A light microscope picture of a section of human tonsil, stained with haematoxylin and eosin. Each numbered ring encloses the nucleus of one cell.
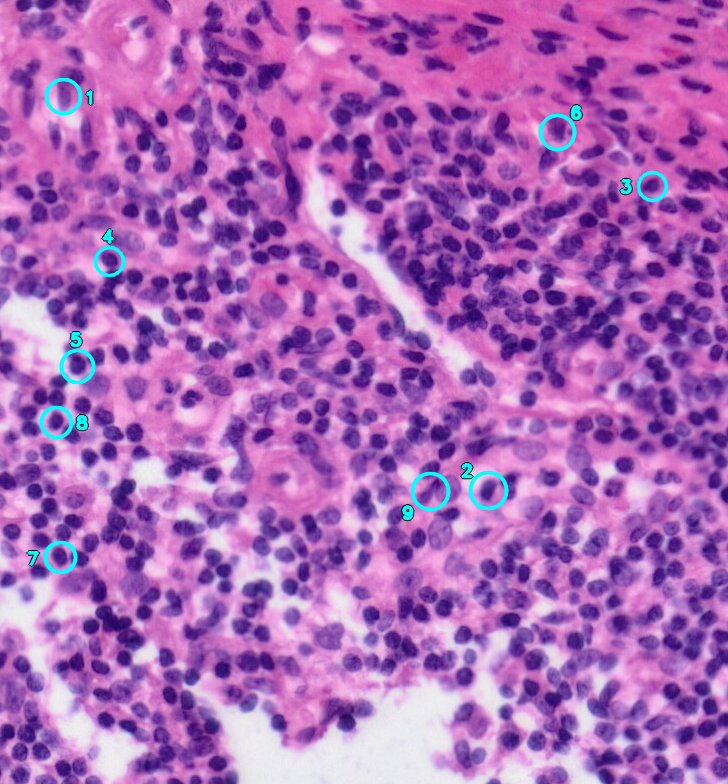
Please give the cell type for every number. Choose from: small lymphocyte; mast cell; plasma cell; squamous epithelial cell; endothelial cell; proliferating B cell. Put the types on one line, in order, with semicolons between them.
endothelial cell; endothelial cell; plasma cell; endothelial cell; small lymphocyte; endothelial cell; small lymphocyte; small lymphocyte; endothelial cell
